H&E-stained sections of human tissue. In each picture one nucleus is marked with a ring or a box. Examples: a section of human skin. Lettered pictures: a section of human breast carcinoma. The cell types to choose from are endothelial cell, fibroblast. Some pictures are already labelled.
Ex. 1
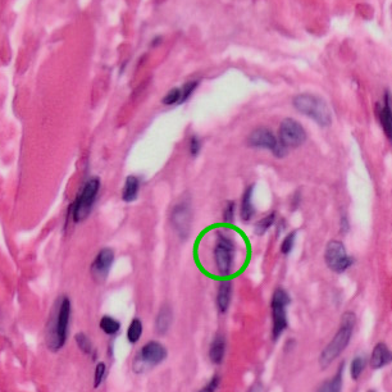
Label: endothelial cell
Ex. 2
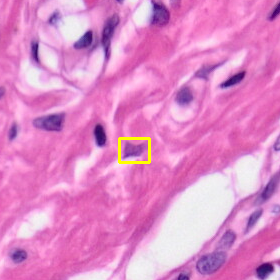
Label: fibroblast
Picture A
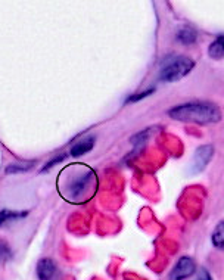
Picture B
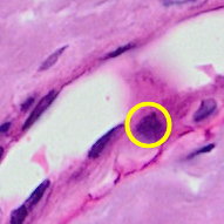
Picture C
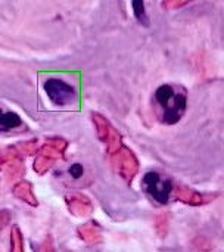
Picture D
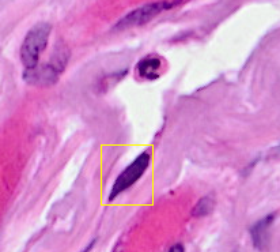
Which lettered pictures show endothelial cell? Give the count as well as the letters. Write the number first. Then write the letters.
Count: 2 (A, B)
